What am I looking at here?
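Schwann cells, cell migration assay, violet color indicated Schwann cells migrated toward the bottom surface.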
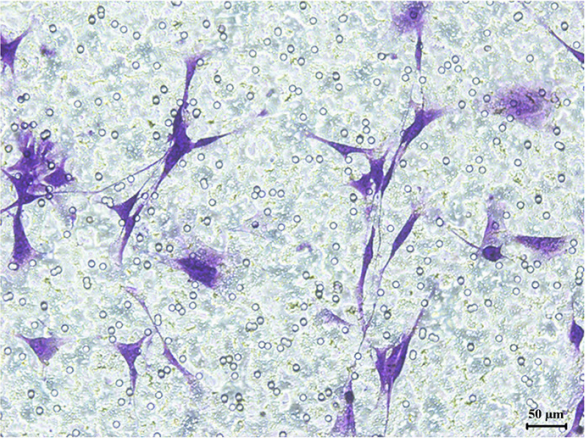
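The cells are spindle-shaped or triangular with tapering processes, and some are flattened with a more intensely stained body. They lie mostly apart from one another, with wide stretches of bare membrane between them.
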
